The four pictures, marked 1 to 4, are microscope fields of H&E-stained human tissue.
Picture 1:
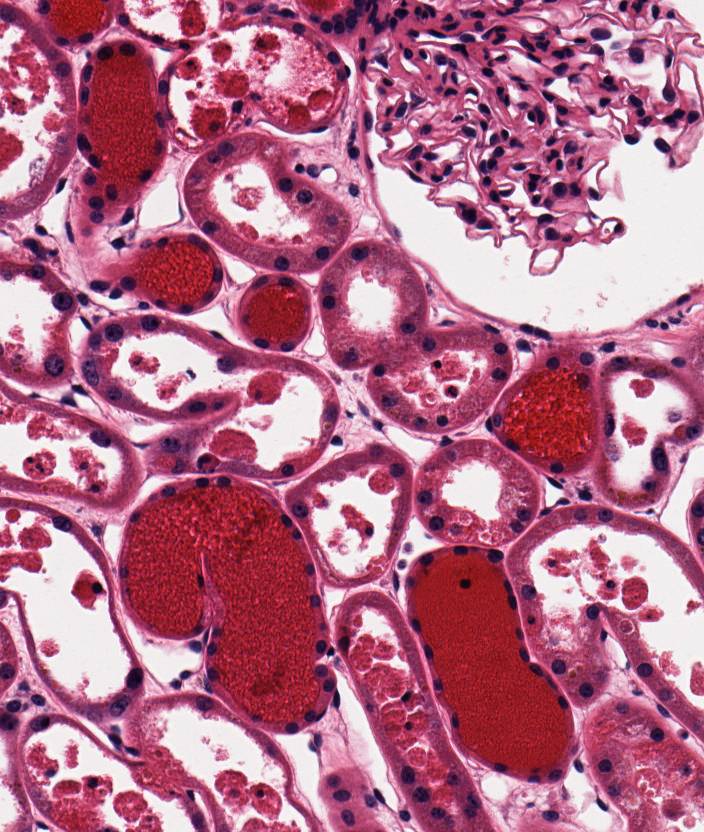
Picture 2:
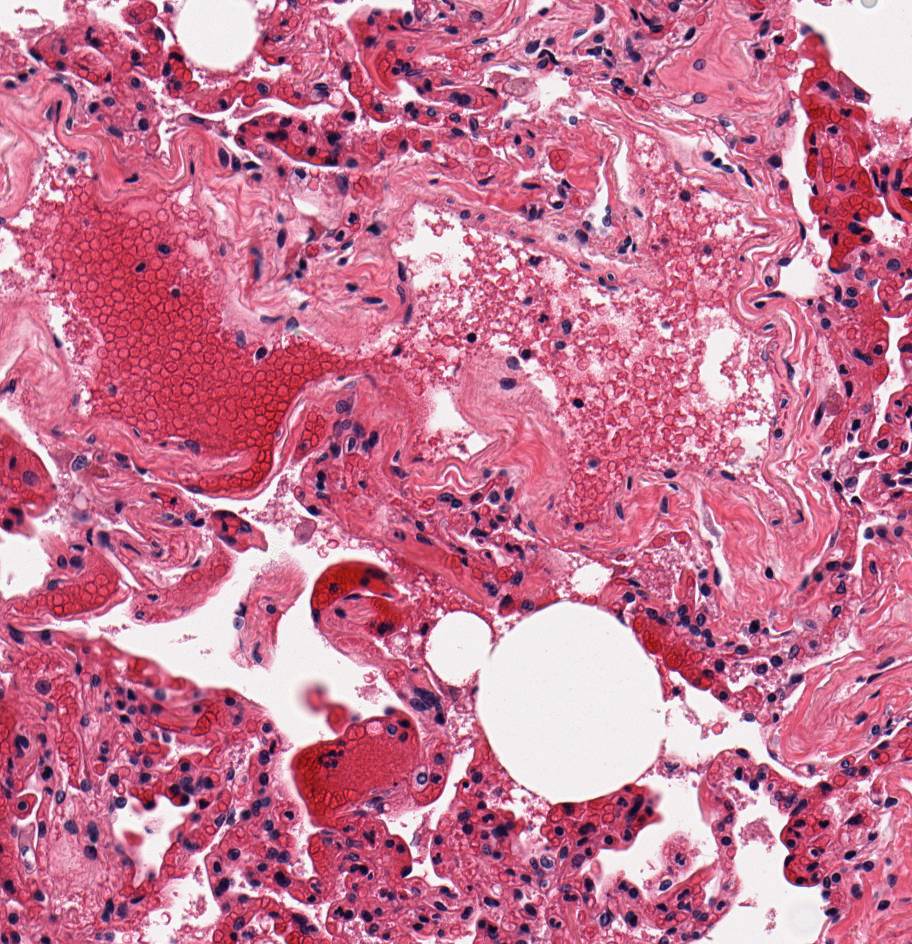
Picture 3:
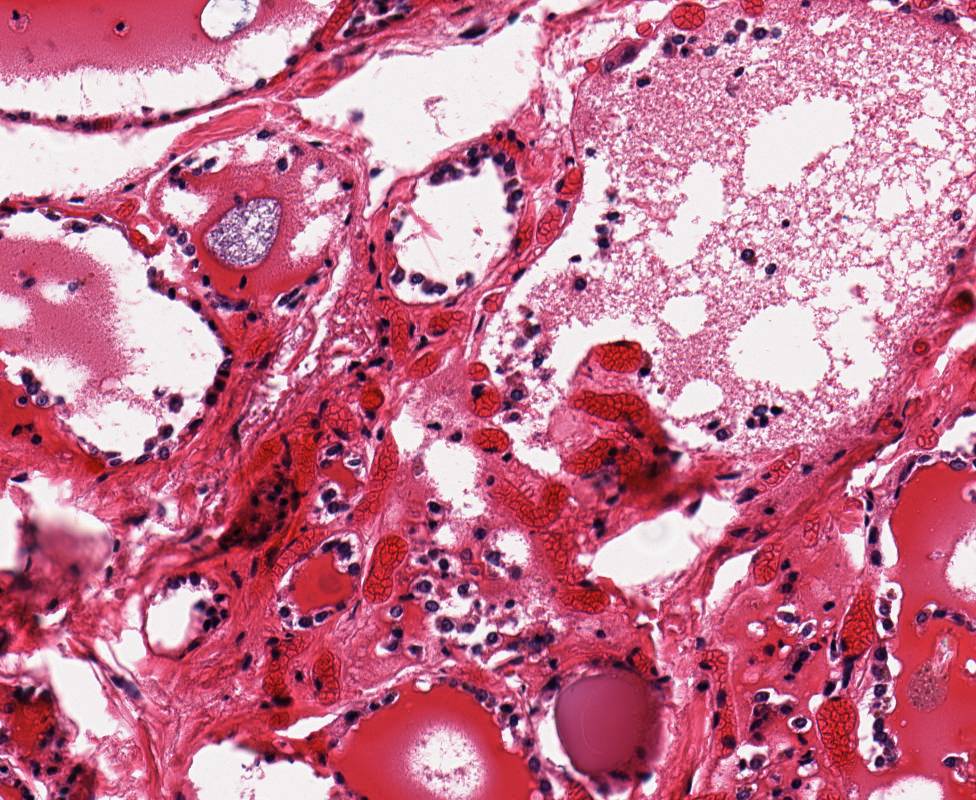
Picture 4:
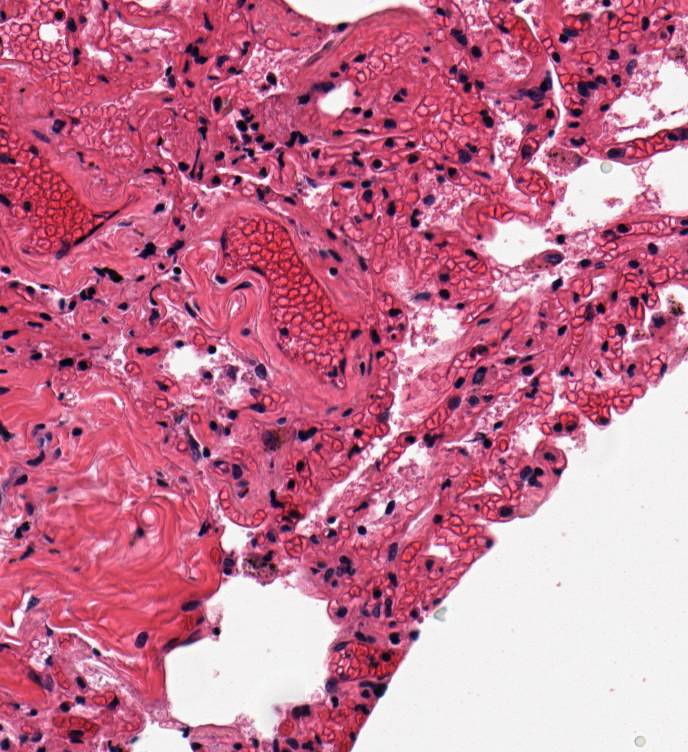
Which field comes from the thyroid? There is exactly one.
3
